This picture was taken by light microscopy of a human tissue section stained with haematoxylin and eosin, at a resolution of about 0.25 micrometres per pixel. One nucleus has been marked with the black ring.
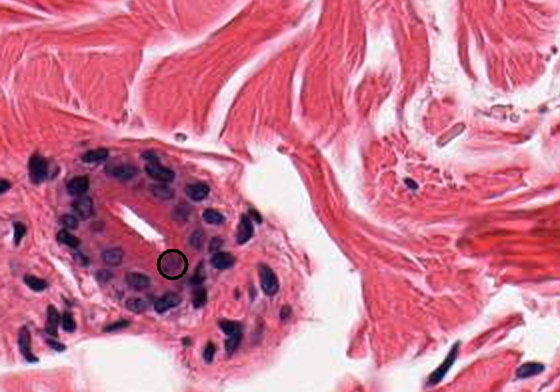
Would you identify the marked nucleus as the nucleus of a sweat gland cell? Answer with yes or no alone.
yes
